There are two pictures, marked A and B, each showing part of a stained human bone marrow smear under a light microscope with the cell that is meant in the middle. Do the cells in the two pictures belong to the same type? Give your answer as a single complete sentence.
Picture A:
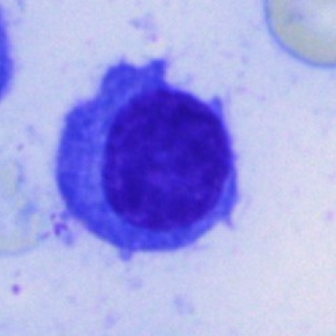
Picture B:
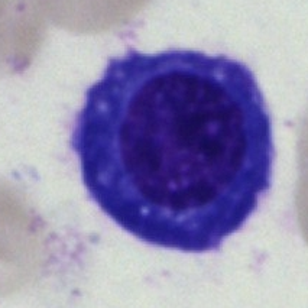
Yes; the cells in both pictures are plasma cells.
